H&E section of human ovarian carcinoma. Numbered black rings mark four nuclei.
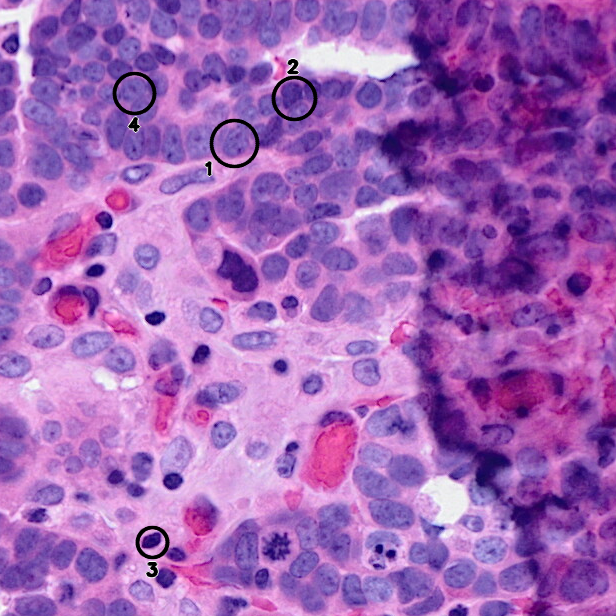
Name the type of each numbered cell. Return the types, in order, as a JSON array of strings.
["carcinoma cell", "carcinoma cell", "lymphocyte", "carcinoma cell"]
